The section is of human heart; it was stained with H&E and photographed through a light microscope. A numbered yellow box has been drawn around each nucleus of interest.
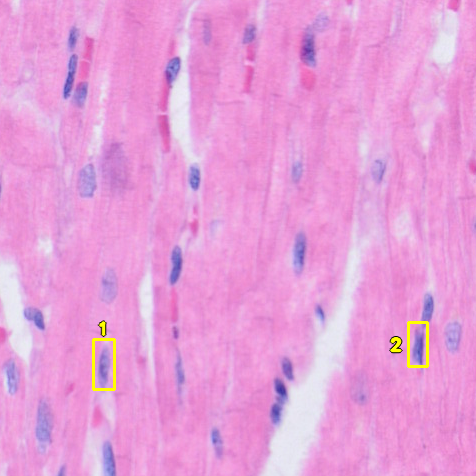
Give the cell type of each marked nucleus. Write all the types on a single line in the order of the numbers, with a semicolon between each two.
fibroblast; endothelial cell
